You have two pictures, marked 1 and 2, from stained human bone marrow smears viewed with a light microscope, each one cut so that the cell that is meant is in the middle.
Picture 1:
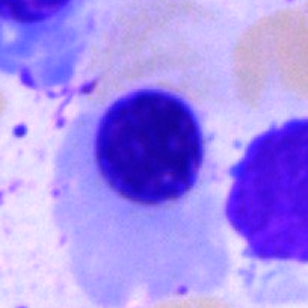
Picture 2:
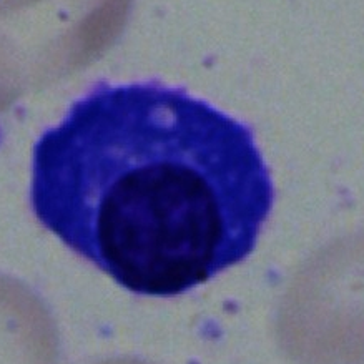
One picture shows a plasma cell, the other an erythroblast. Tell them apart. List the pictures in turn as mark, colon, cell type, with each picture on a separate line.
1: erythroblast
2: plasma cell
